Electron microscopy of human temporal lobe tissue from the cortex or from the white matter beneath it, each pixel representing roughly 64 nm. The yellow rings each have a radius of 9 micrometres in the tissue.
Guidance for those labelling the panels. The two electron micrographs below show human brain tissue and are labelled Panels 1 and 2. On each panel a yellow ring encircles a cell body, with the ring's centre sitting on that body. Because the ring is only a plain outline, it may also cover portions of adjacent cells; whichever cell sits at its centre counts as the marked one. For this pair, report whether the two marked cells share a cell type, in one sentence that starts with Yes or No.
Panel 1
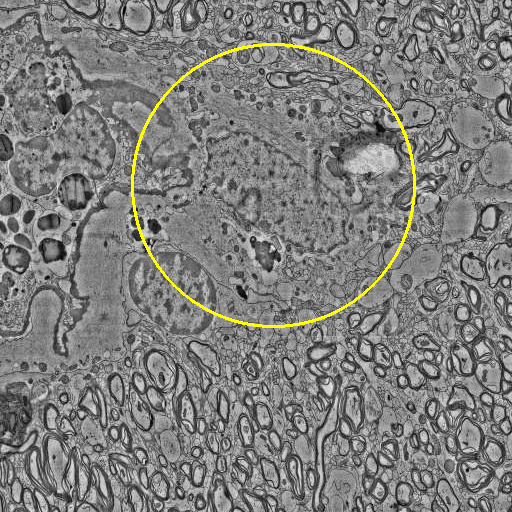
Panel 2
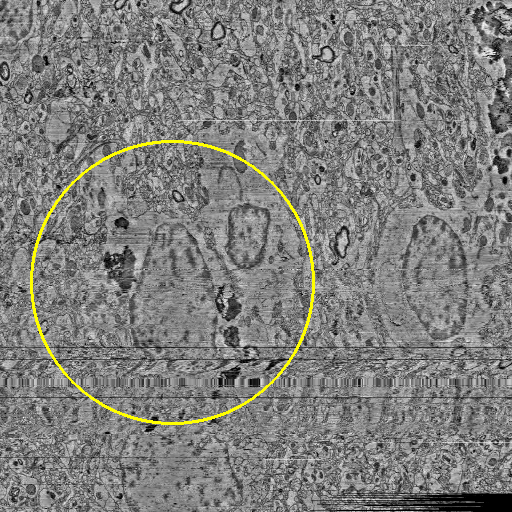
Yes, in Panel 1 and Panel 2 the marked cells at the ring centres share one type.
